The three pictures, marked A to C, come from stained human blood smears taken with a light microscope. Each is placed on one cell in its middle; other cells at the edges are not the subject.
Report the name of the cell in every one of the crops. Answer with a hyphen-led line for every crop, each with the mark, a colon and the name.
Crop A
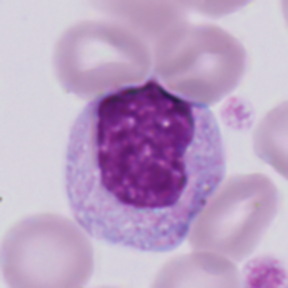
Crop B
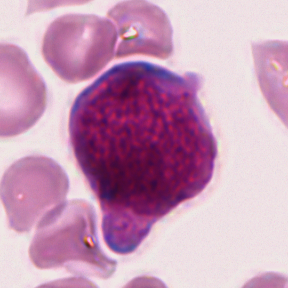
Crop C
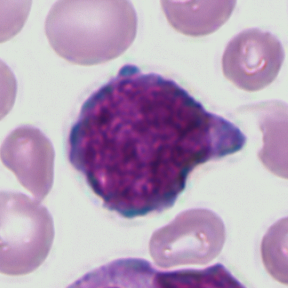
- A: myelocyte
- B: atypical promyelocyte
- C: atypical promyelocyte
